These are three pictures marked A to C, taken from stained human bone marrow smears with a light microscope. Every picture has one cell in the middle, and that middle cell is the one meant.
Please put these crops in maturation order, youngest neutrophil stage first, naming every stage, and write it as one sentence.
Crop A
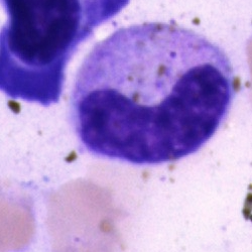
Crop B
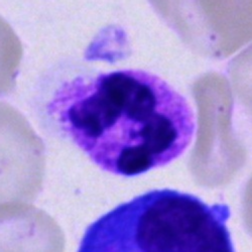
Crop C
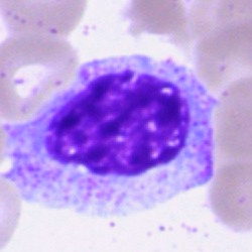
The ordering by maturity, least to greatest, is crop C (a myelocyte), crop A (a band neutrophil) and crop B (a segmented neutrophil).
